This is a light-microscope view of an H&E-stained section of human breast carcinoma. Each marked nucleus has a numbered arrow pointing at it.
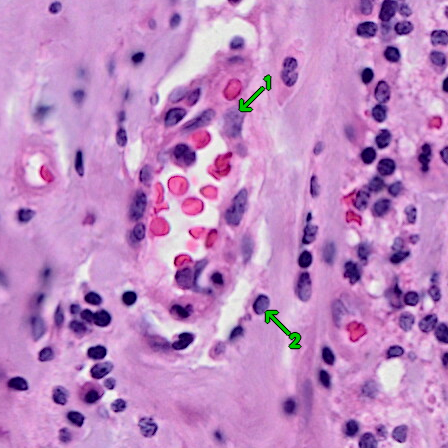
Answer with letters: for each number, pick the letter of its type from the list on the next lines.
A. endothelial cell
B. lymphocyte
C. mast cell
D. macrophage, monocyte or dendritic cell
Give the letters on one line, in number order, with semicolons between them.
A; B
